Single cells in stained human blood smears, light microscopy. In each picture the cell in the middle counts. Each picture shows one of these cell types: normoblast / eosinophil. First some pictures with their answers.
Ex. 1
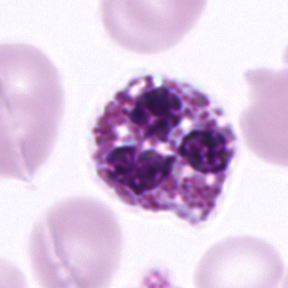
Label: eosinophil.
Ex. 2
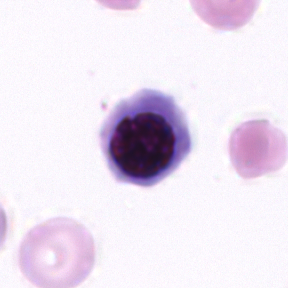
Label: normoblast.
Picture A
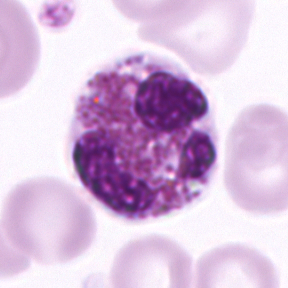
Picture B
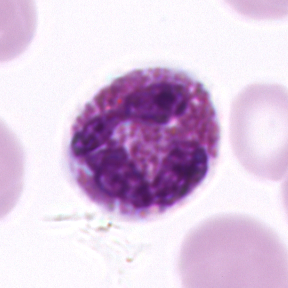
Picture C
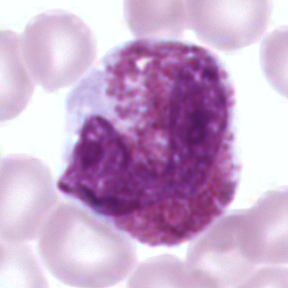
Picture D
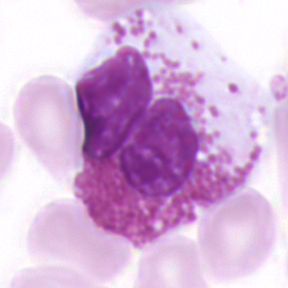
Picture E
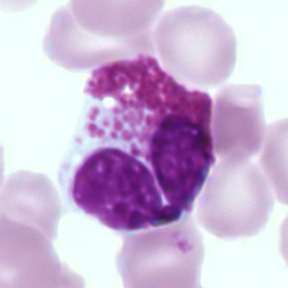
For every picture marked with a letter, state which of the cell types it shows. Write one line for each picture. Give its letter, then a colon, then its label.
A: eosinophil.
B: eosinophil.
C: eosinophil.
D: eosinophil.
E: eosinophil.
